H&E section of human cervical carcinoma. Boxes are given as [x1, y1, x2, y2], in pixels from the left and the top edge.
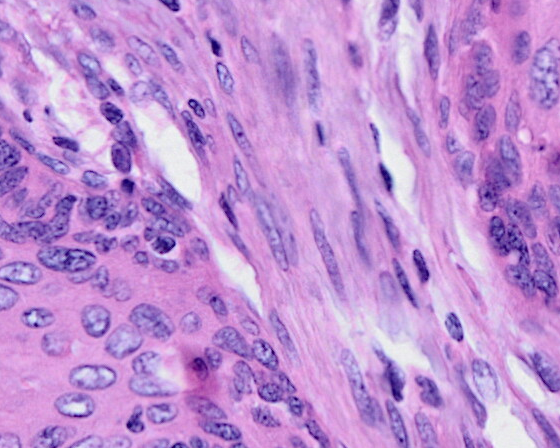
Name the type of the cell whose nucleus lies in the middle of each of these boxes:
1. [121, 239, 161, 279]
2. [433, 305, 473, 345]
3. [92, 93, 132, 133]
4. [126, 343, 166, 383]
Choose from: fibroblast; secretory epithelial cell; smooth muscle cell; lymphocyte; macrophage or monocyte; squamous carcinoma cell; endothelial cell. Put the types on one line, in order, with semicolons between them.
squamous carcinoma cell; lymphocyte; lymphocyte; squamous carcinoma cell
